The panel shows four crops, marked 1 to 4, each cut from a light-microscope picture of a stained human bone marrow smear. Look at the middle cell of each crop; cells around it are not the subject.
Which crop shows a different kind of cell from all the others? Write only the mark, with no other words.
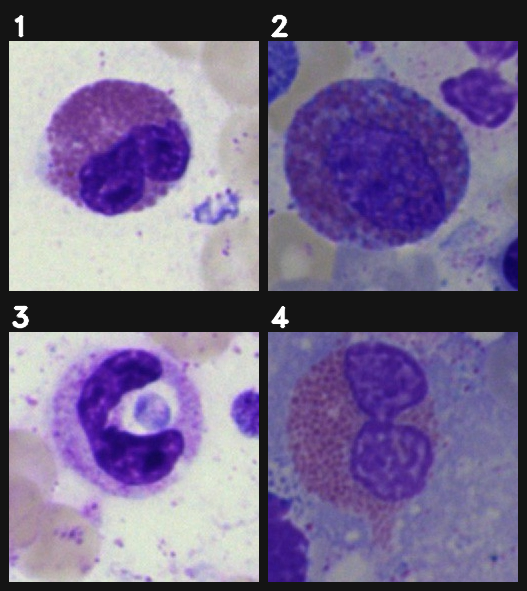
3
